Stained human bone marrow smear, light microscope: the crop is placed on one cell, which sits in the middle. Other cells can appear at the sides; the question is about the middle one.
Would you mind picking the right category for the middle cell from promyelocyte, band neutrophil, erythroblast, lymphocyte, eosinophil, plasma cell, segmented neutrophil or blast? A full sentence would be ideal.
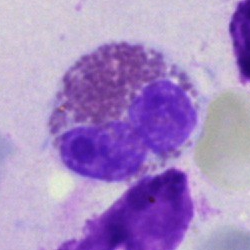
This particular crop is centered on an eosinophil.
